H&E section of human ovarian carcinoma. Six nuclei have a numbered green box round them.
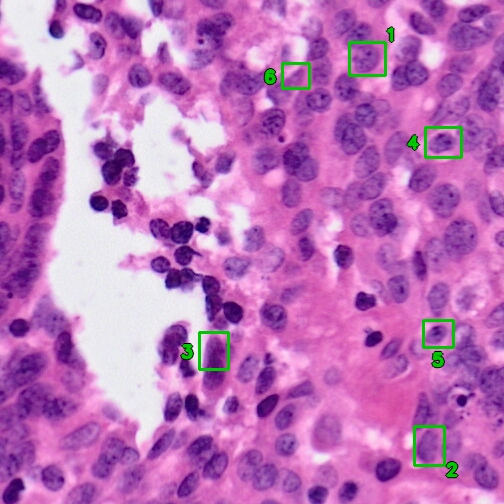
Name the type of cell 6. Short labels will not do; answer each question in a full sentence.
Looking at the numbered marks, cell 6 is a carcinoma cell.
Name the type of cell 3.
The nucleus labelled 3 belongs to a carcinoma cell.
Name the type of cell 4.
The numbered cell 4 is identified here as a macrophage or monocyte.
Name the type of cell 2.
The numbered cell 2 is identified here as a carcinoma cell.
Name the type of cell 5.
The correct label for cell 5 is a macrophage or monocyte.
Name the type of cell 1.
The cell identified by number 1 is a carcinoma cell.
